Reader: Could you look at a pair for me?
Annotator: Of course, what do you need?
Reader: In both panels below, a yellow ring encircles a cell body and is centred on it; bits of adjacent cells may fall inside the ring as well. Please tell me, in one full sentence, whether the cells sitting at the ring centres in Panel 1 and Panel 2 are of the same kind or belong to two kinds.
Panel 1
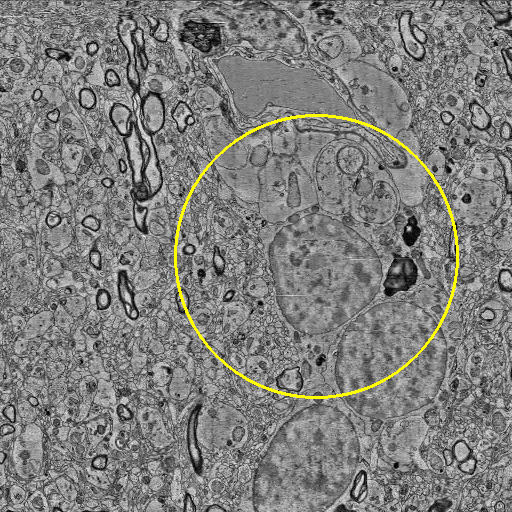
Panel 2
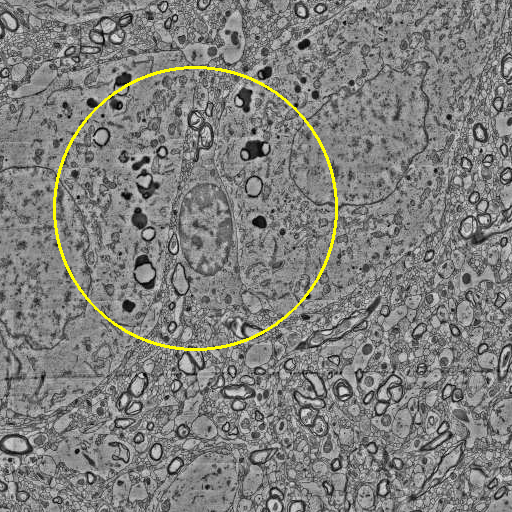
The cell at the ring's centre in Panel 1 and the one in Panel 2 are of the same kind.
